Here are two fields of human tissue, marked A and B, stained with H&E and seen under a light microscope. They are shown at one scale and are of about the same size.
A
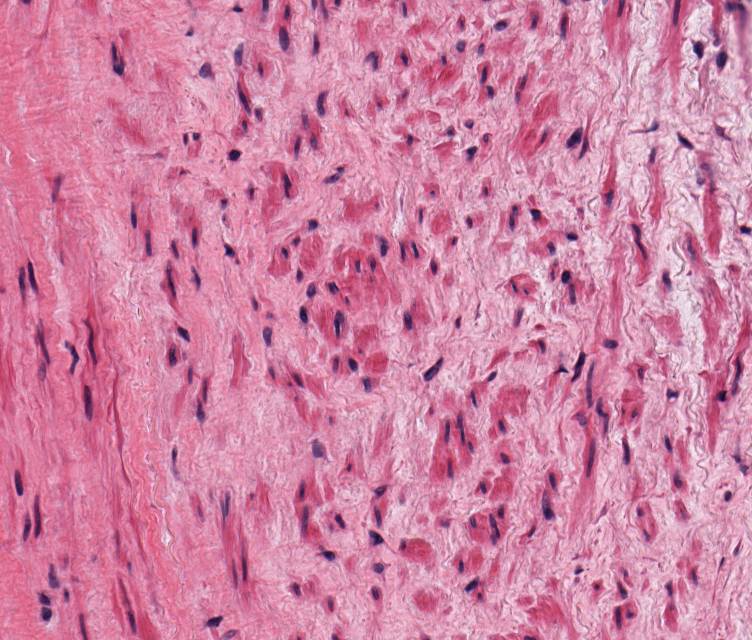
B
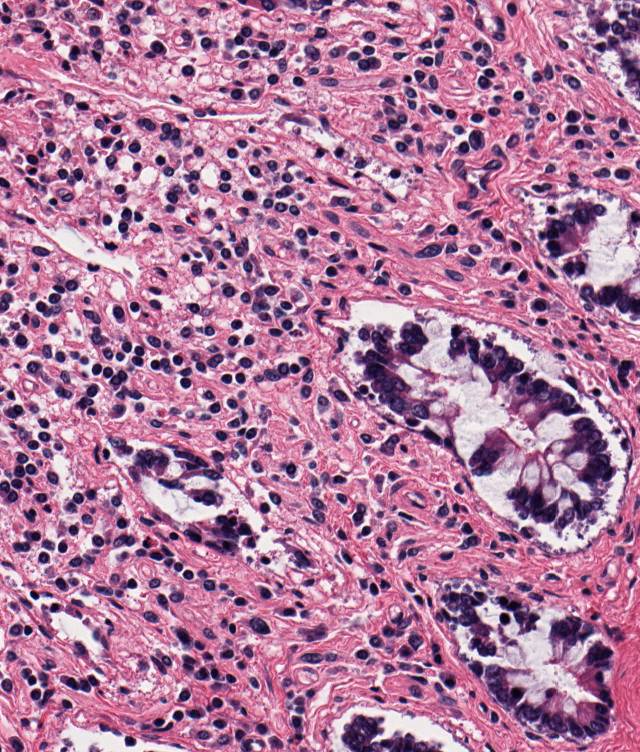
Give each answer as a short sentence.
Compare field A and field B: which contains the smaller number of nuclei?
Fewer nuclei lie in field A than in field B.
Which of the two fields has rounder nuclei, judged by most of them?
Rounder nuclei lie in field B.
